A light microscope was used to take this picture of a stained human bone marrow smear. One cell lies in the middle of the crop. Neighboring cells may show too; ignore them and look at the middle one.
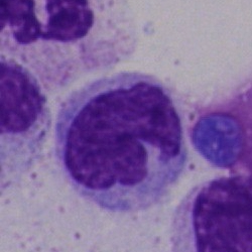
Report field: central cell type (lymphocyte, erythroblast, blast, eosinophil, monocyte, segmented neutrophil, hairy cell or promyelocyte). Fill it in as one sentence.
This crop has a monocyte at its centre.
